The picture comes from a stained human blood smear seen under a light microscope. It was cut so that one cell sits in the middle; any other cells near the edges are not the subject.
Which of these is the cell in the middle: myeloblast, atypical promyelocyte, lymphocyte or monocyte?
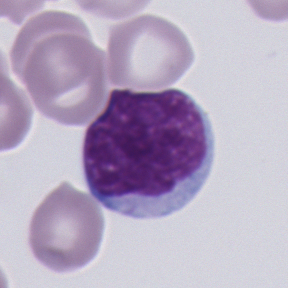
lymphocyte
